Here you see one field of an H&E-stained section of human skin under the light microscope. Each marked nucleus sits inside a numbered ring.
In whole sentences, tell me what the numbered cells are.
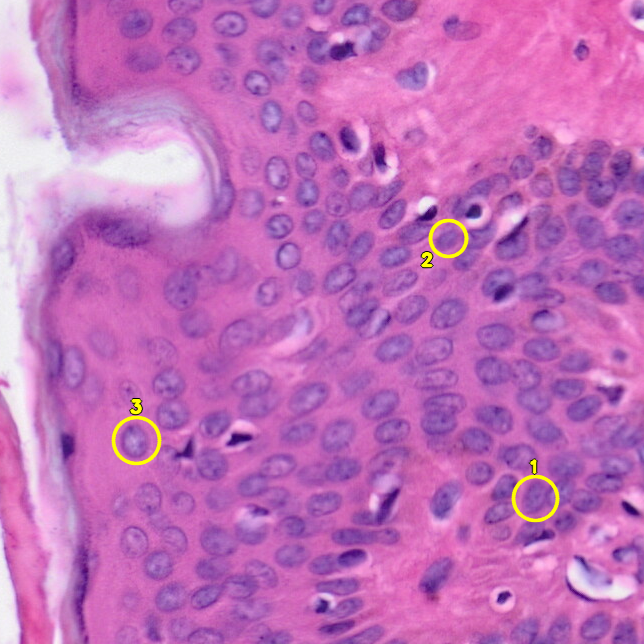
Cells 1 and 2 are basal keratinocytes. Cell 3 is a suprabasal keratinocyte.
